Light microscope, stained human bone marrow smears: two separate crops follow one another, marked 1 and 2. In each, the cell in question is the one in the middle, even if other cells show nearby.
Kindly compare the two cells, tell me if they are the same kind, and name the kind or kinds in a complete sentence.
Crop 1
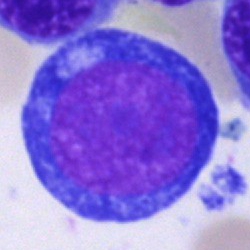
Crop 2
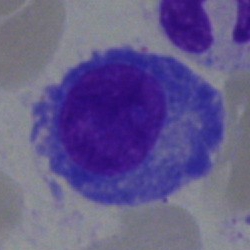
No, the cell shown in crop 1 is a proerythroblast, and the cell shown in crop 2 is a plasma cell.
